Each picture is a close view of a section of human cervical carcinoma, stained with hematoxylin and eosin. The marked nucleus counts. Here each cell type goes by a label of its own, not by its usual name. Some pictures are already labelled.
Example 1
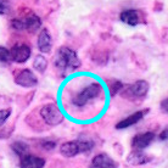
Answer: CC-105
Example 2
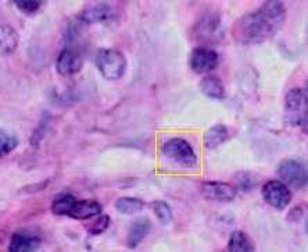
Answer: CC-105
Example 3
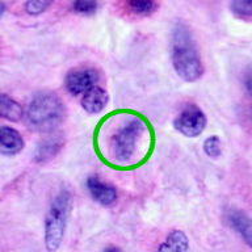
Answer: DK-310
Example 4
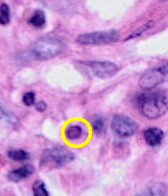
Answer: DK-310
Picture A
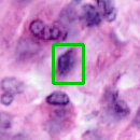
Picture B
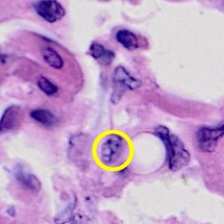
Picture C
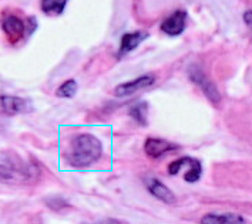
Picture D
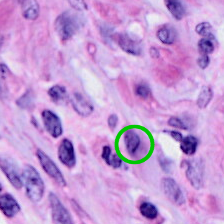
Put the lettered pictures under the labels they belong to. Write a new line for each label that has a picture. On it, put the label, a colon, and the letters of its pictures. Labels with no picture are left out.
CC-105: A
DK-310: B, C, D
